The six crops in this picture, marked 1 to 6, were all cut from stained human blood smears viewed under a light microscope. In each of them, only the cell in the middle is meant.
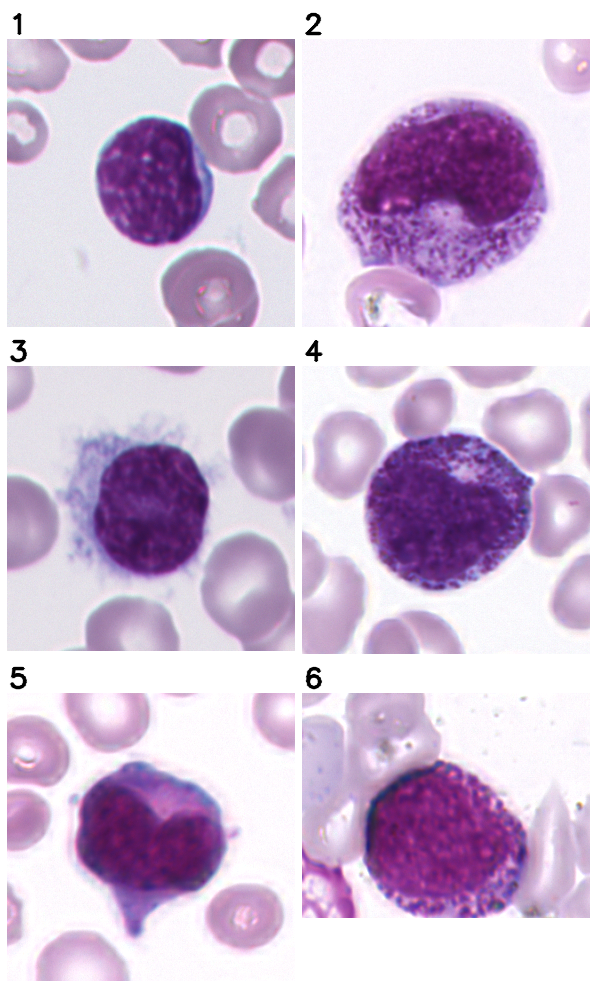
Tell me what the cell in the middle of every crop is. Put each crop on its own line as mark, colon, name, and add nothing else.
1: typical lymphocyte
2: myelocyte
3: hairy cell
4: promyelocyte
5: atypical promyelocyte
6: myelocyte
